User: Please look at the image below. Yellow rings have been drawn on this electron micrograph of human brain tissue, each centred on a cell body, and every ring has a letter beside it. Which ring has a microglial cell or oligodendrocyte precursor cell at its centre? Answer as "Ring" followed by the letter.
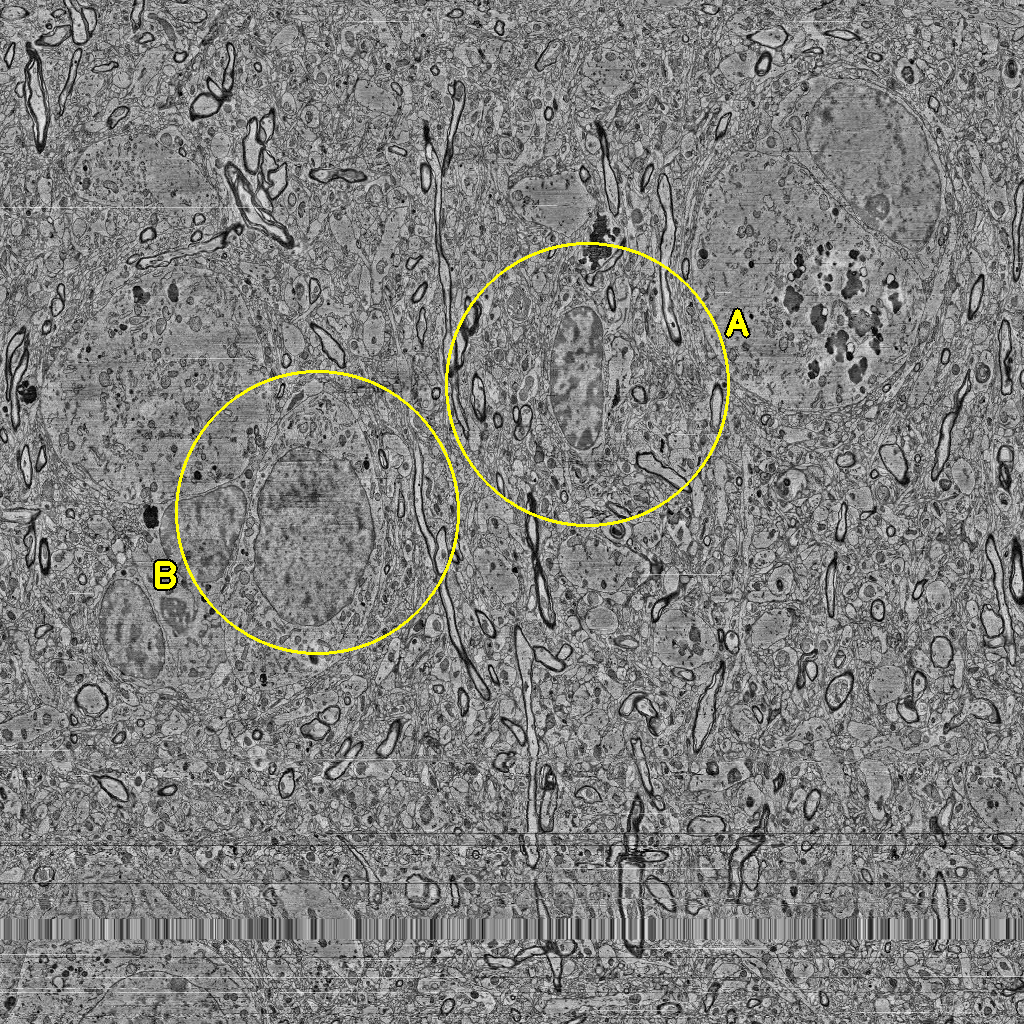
Ring A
